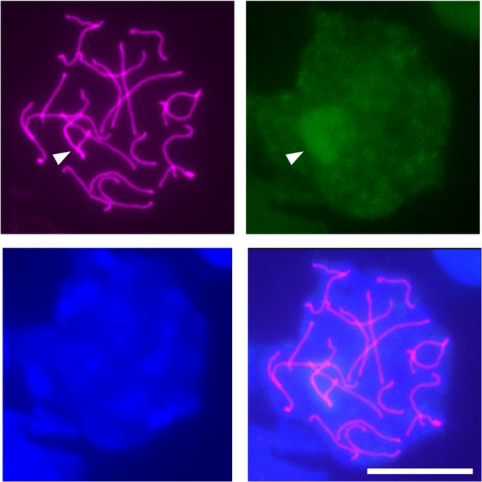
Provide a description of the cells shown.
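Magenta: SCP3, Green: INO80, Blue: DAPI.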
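This spread shows a single pachytene spermatocyte nucleus, seen in separate magenta, green and blue views and a merged view. About twenty thick, continuous magenta axes lie scattered across the nucleus, each running the full length of a paired chromosome, with slightly thickened ends. The blue view fills a broad, rounded nucleus without sharp detail. The green view is diffuse over the nucleus, with one brighter rounded patch at the site the arrowhead marks, near a short axis at the edge of the chromosome set.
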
